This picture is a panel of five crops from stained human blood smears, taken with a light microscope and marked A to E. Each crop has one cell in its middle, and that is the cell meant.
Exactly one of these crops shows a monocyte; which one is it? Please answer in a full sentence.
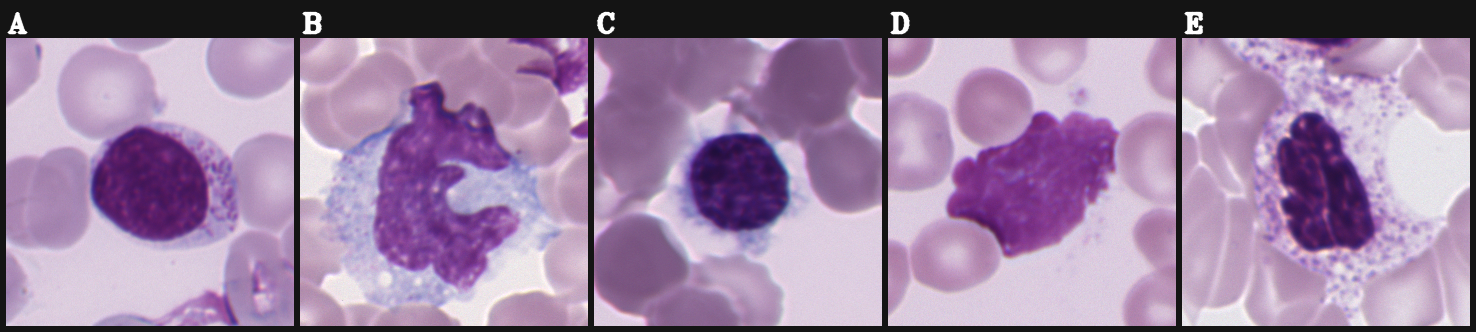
The crop with a monocyte in it is crop B.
